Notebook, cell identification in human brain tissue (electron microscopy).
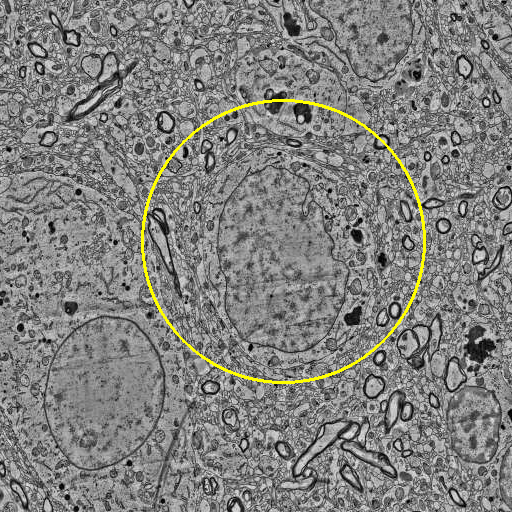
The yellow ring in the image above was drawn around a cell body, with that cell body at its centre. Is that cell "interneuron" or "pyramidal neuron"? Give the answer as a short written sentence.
The cell in the ring is a pyramidal neuron.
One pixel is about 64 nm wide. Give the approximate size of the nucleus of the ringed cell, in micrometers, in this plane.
In this plane the nucleus spans approximately 12 by 8 micrometers.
